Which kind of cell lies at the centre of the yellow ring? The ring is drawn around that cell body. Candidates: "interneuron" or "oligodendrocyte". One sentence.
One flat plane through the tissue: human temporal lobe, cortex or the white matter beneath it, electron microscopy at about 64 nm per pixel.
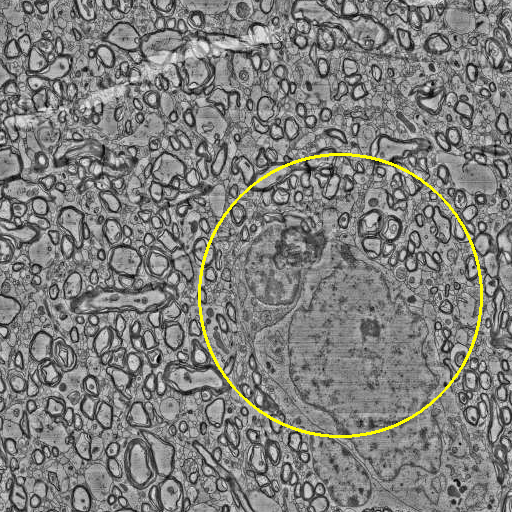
Lying at the centre of the ring is an interneuron.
